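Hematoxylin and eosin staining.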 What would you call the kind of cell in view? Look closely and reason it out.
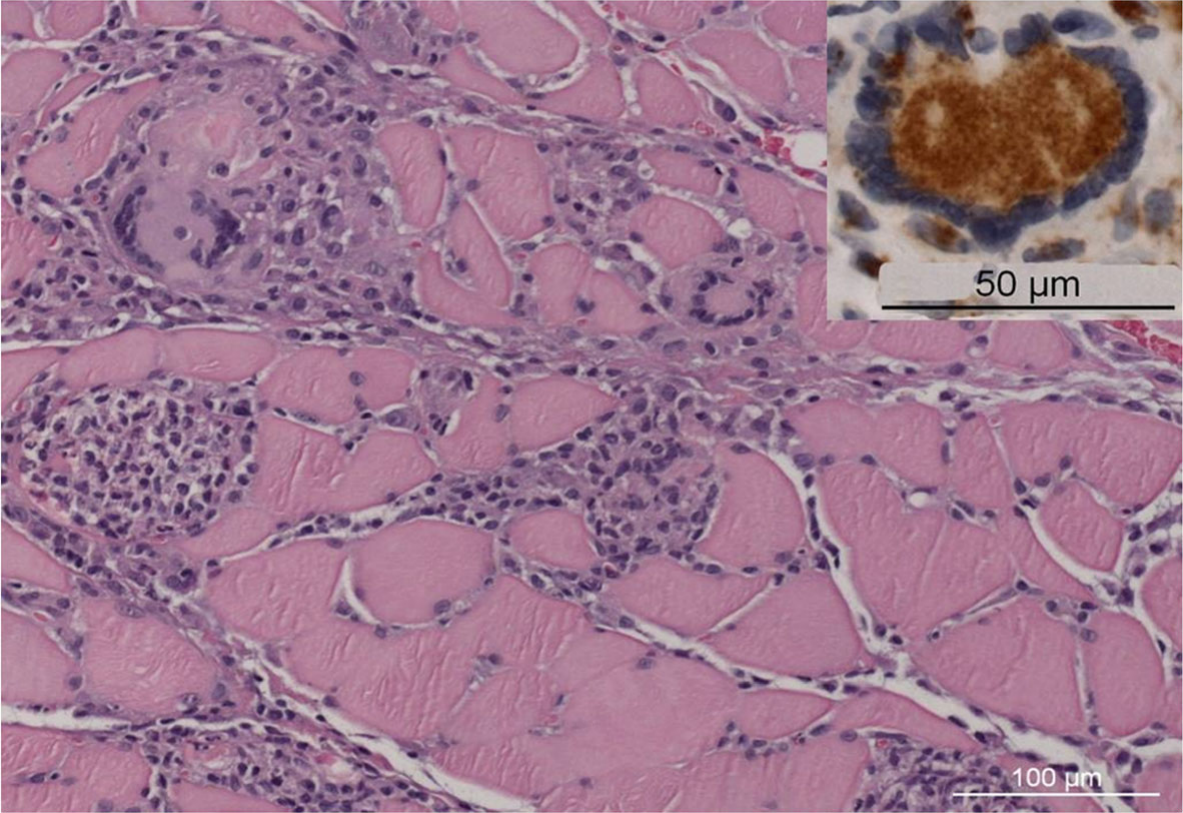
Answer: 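The large cell is far bigger than the surrounding small round nuclei.
Conclusion: multinucleate giant cells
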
